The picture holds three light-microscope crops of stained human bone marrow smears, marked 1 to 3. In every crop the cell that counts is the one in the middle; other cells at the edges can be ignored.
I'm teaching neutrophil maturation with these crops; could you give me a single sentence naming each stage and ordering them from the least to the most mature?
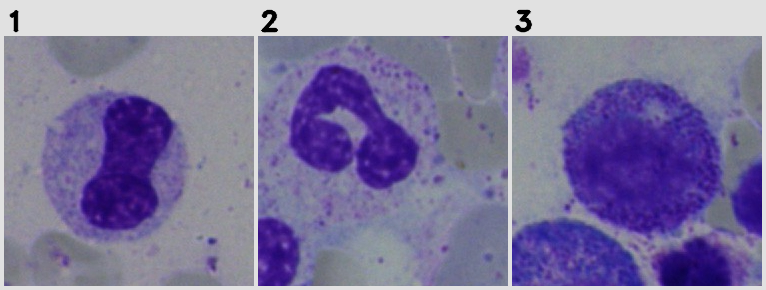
When lined up from least to most mature, the crops are crop 3 (a myelocyte), crop 1 (a band neutrophil) and crop 2 (a segmented neutrophil).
